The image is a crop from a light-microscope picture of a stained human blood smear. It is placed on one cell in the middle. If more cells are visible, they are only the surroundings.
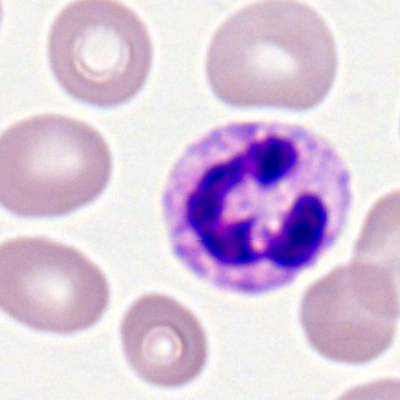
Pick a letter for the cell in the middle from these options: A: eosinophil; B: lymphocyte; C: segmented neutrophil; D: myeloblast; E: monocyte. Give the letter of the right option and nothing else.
C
